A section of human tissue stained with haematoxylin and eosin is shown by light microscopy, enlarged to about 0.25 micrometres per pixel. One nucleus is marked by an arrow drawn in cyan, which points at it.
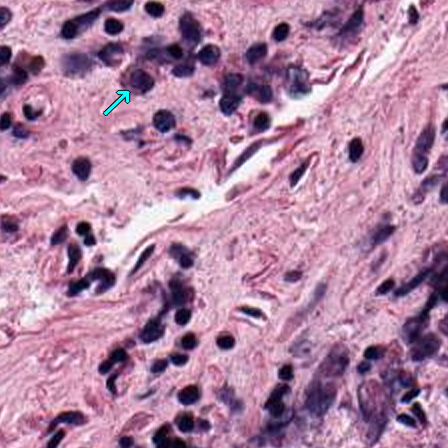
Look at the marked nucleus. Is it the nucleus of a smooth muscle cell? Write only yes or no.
no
